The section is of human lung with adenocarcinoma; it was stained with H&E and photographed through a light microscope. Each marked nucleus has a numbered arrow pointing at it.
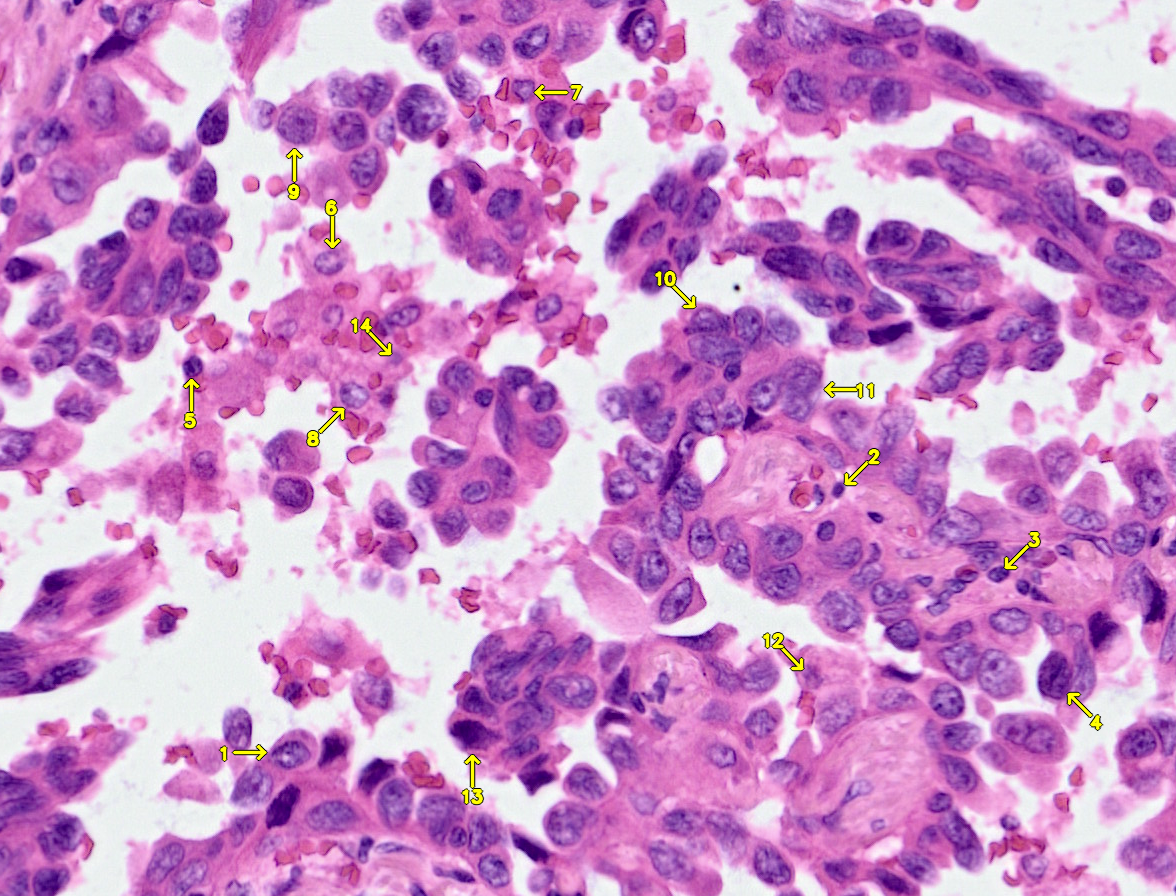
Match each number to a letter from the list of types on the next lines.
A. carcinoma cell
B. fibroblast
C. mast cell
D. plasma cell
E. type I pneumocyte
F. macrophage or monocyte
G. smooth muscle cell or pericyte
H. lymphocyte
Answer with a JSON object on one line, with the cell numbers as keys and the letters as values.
{"1": "A", "2": "H", "3": "H", "4": "A", "5": "H", "6": "F", "7": "F", "8": "F", "9": "A", "10": "A", "11": "A", "12": "F", "13": "A", "14": "F"}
